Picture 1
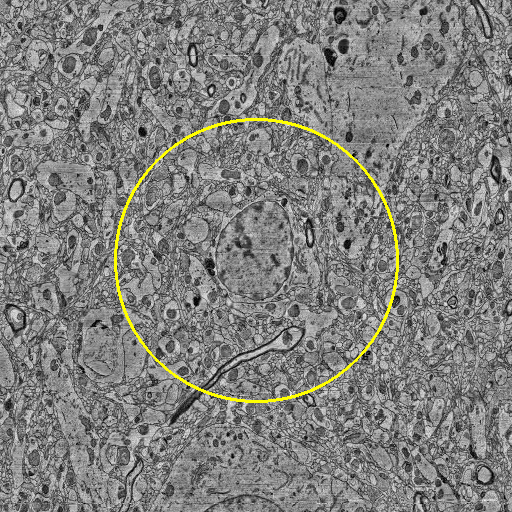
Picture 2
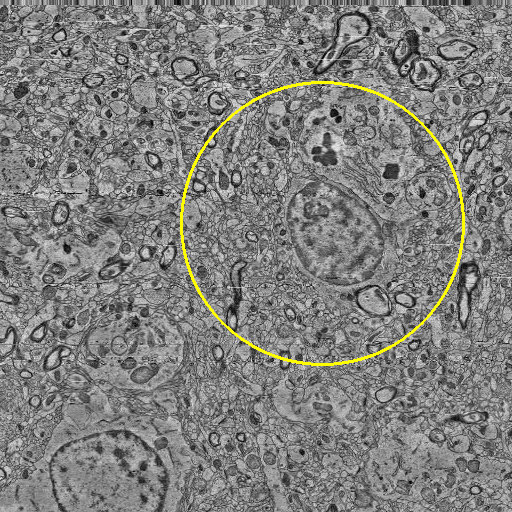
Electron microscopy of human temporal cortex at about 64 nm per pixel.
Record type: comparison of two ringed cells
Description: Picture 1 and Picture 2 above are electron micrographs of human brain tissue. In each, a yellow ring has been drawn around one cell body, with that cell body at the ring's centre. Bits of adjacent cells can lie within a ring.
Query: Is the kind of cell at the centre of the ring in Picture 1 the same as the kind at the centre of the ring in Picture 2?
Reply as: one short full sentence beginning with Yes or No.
No, the two ringed cells are of two separate kinds.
